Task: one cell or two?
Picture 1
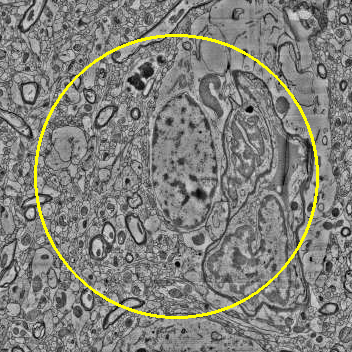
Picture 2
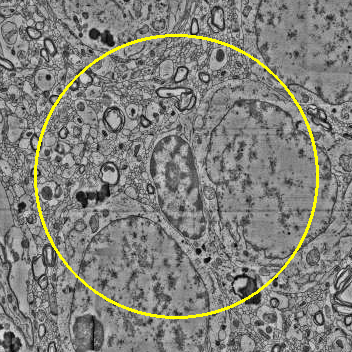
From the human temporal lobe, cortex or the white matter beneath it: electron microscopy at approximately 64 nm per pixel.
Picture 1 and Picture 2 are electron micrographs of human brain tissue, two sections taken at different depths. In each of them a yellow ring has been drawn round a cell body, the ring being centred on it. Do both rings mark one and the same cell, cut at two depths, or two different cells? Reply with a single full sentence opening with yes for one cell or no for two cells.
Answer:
No, the rings single out two cells that are separate from each other.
